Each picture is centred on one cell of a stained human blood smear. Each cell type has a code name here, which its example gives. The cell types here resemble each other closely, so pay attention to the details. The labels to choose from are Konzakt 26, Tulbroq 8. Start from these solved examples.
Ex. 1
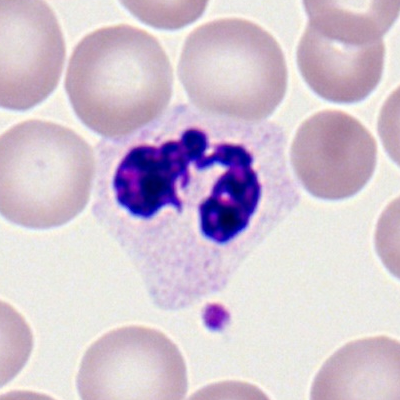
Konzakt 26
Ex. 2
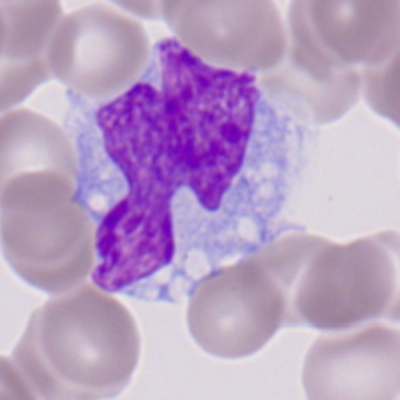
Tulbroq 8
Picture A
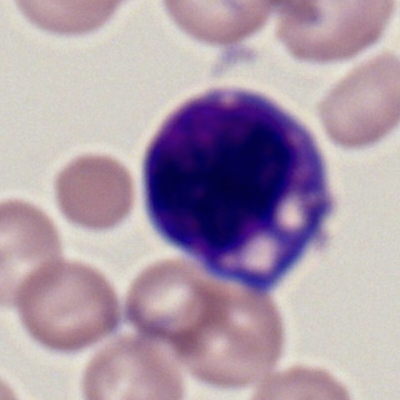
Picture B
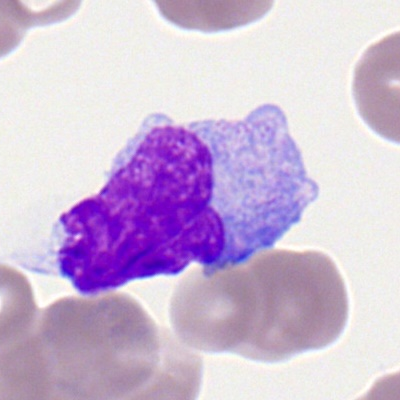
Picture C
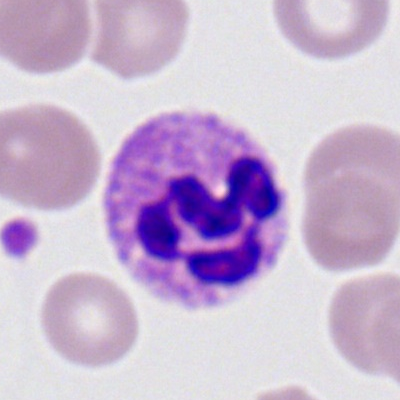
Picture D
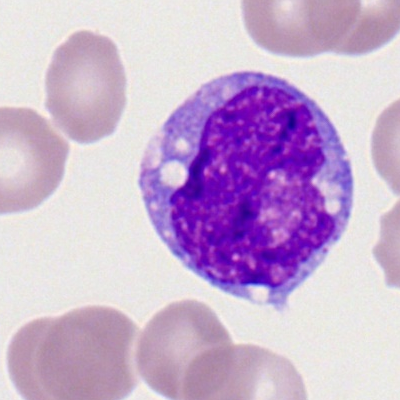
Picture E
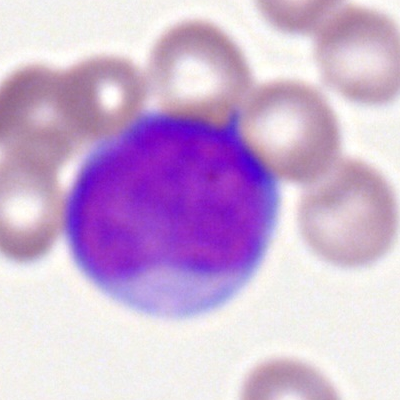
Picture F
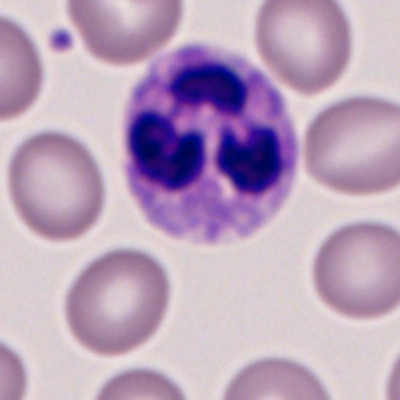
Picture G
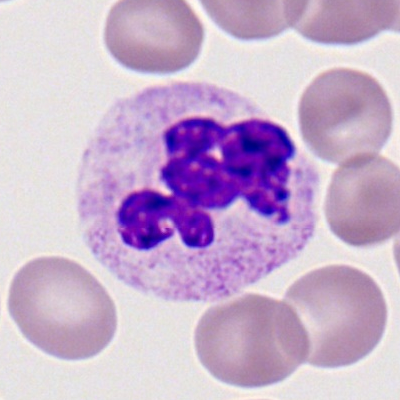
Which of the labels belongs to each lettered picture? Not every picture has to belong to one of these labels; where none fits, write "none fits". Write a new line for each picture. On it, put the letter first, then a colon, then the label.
A: none fits
B: Tulbroq 8
C: Konzakt 26
D: Tulbroq 8
E: none fits
F: Konzakt 26
G: Konzakt 26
